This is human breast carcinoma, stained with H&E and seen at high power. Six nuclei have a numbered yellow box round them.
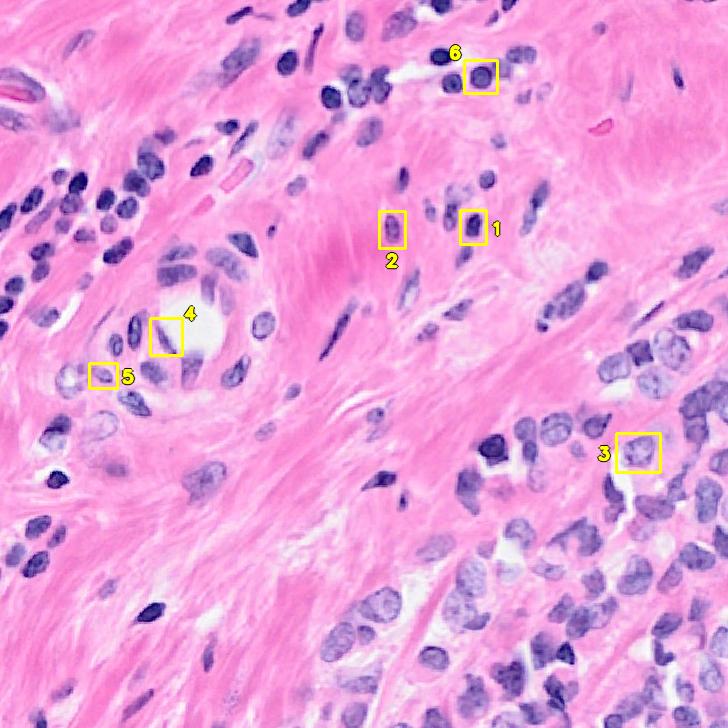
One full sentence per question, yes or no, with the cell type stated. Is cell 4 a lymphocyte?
No, cell 4 counts as an endothelial cell rather than as a lymphocyte.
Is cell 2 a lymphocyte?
Yes, the cell carrying label 2 is a lymphocyte.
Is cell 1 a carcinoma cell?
No, the cell given the number 1 is a lymphocyte, so not a carcinoma cell.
